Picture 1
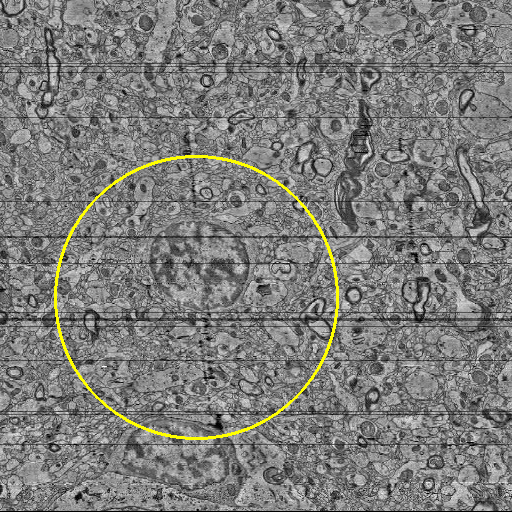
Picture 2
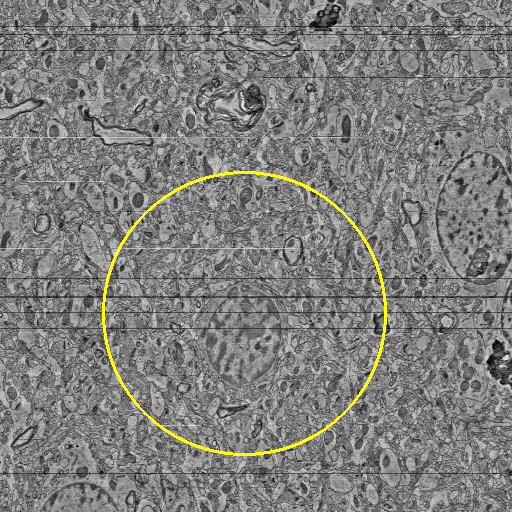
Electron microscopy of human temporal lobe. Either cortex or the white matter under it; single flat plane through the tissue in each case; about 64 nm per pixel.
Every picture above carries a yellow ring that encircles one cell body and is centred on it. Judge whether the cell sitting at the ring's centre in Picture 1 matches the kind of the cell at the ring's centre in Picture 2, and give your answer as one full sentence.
Yes, the cells centred in the rings of Pictures 1 and 2 belong to one kind.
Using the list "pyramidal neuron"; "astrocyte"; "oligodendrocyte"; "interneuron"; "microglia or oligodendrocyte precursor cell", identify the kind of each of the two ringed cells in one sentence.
The cell in the first picture is an oligodendrocyte, and so is the one in the second.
